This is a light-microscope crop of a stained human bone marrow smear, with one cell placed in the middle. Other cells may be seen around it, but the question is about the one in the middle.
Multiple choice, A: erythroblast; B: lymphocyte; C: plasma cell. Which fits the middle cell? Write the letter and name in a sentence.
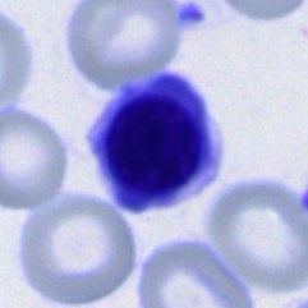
Option A, which names the central cell as an erythroblast, is correct.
